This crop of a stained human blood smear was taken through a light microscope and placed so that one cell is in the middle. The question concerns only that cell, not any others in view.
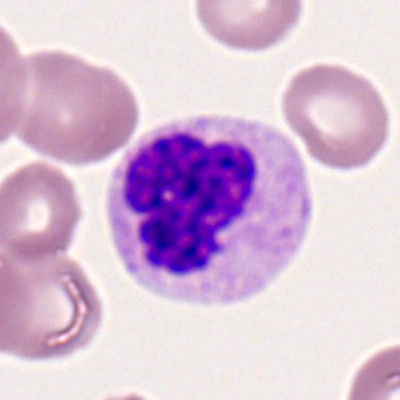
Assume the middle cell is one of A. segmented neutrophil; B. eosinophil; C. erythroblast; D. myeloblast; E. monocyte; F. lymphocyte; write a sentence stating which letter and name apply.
The cell shown centrally is a segmented neutrophil; option A is the correct option.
